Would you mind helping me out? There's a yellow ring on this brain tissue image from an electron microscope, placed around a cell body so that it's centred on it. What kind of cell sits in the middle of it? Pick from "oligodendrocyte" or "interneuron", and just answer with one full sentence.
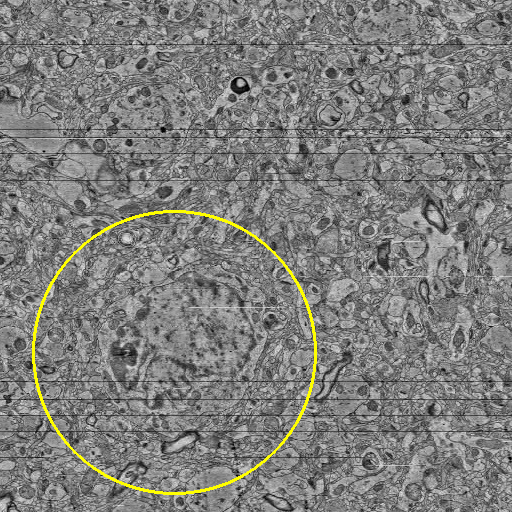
What sits in the middle of that yellow ring is an interneuron, from your choices.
